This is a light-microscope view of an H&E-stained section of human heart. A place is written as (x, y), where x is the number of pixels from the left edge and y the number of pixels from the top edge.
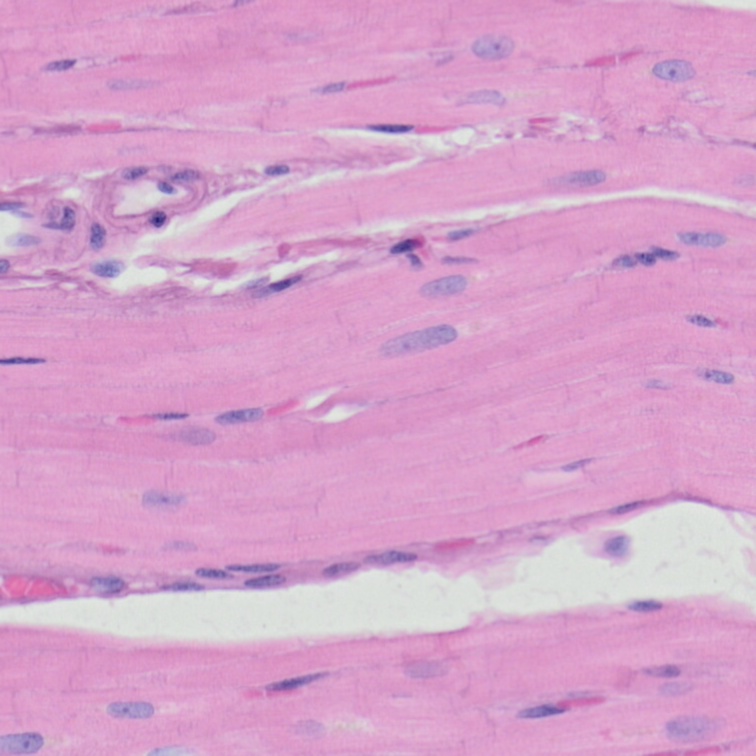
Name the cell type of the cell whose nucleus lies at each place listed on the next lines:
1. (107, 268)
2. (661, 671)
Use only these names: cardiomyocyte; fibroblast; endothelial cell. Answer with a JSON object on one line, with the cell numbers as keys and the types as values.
{"1": "fibroblast", "2": "endothelial cell"}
